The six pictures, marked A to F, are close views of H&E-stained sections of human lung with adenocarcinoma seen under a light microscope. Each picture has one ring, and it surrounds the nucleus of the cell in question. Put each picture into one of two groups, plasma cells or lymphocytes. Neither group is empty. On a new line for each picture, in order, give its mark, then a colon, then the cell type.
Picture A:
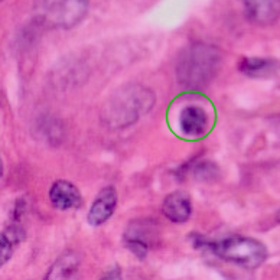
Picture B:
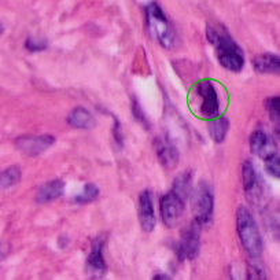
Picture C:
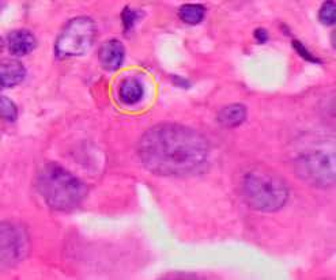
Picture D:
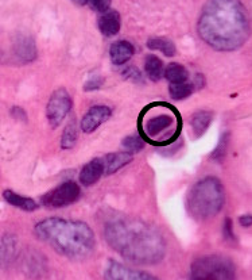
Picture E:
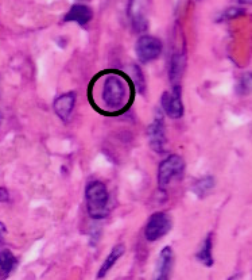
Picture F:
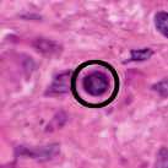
A: lymphocyte
B: plasma cell
C: lymphocyte
D: lymphocyte
E: plasma cell
F: plasma cell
